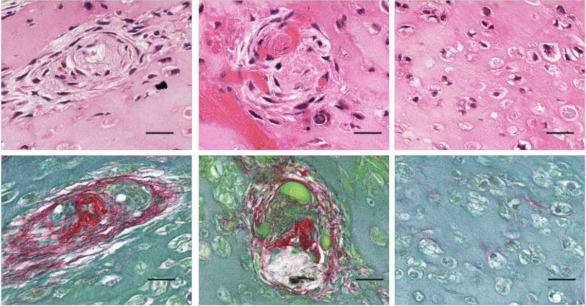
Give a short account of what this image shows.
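In the left two columns, each image is centred on a roughly round lumen. The lumen is encircled by several layers of elongated cells with flattened dark nuclei, arranged concentrically around it. In the bottom row, the tissue around these lumens is stained deep red, and the surrounding matrix is pale green. Red material lies within or along the lumens. In the right column, the tissue contains scattered rounded cells with dark nuclei set in pale pink or green matrix. No ringed lumen is seen there, and red staining is faint.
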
